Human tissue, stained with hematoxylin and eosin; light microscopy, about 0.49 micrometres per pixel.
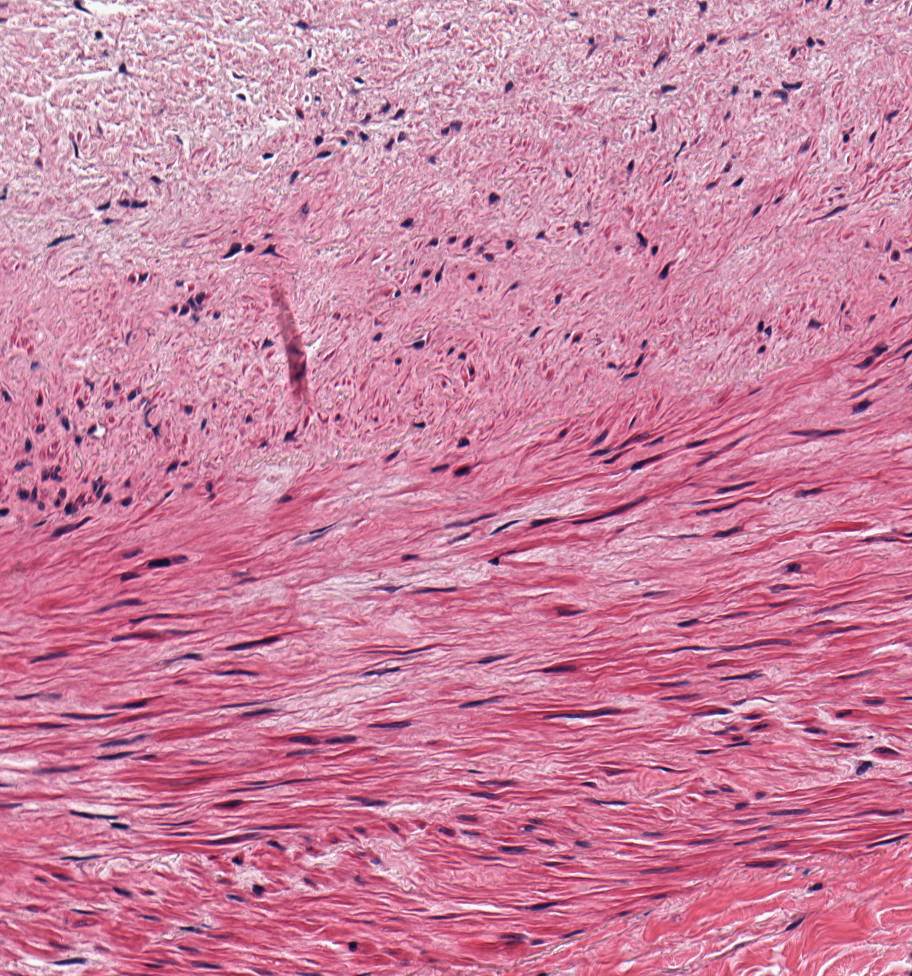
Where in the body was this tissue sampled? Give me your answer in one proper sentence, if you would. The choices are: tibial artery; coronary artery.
From the coronary artery was taken the tissue in this section.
